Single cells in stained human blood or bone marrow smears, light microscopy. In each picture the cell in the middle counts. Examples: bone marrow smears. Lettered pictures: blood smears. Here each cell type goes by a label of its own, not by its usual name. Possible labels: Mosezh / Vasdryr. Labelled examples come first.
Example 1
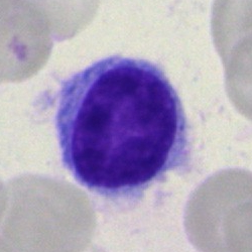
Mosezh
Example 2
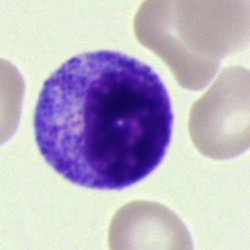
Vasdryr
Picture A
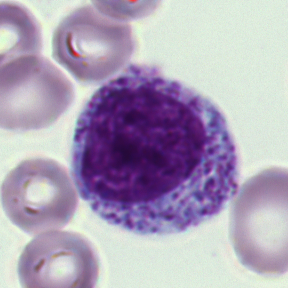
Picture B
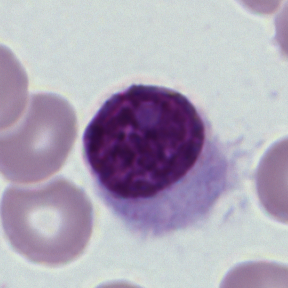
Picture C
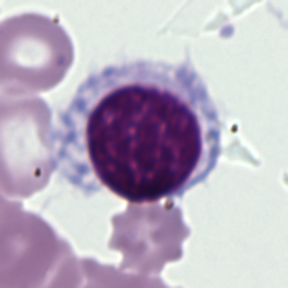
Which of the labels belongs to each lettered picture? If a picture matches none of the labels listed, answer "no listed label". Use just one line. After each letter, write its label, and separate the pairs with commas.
A Vasdryr, B no listed label, C Mosezh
